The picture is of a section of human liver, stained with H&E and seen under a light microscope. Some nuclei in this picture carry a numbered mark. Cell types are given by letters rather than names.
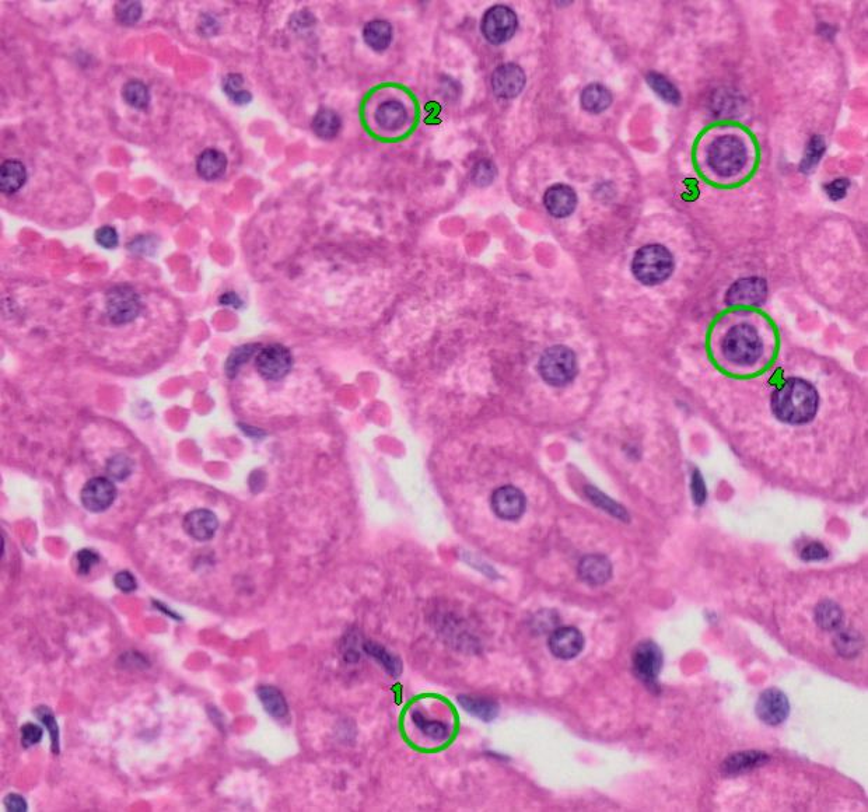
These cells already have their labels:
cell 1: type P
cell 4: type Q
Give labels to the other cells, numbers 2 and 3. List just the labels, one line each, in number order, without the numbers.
type Q
type Q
